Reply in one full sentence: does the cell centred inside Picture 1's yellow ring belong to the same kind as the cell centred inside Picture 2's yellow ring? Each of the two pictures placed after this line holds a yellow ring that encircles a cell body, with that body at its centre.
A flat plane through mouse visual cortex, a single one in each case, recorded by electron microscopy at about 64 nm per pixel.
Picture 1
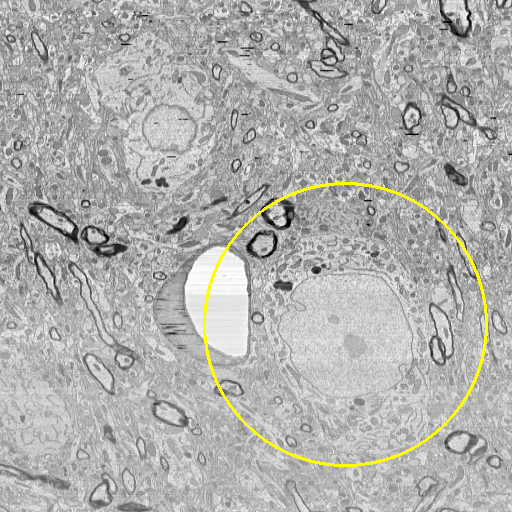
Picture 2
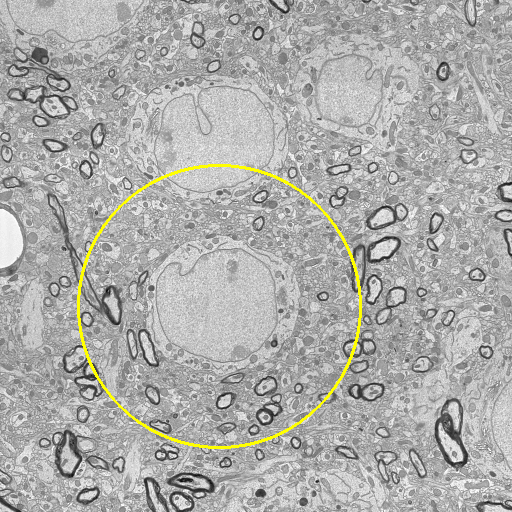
No, the ring-centred cells in Picture 1 and Picture 2 are of two separate kinds.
